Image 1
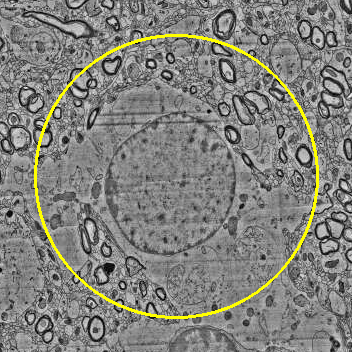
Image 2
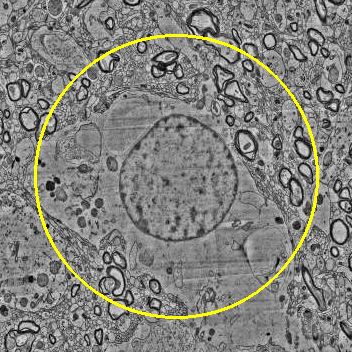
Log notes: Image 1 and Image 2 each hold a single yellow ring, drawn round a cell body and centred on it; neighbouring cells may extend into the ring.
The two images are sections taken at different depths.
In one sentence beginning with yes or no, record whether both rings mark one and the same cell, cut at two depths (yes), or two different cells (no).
Yes, both rings identify a single, shared cell.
